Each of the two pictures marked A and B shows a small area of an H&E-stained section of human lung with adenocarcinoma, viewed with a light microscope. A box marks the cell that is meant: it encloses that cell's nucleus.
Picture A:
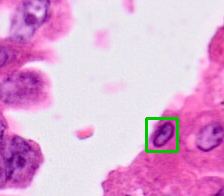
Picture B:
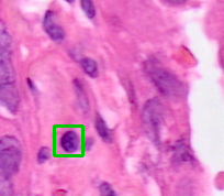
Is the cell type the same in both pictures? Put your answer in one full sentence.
No. Picture A shows a “macrophage or monocyte”, but picture B shows a lymphocyte.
